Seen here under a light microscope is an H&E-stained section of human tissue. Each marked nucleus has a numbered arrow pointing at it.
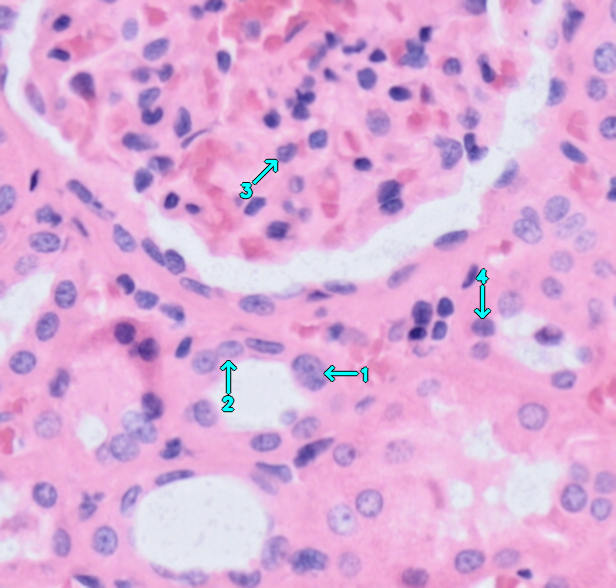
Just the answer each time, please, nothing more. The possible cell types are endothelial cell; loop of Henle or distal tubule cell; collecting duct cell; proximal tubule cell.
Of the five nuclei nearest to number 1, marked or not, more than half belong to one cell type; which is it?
collecting duct cell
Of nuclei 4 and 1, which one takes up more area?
1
